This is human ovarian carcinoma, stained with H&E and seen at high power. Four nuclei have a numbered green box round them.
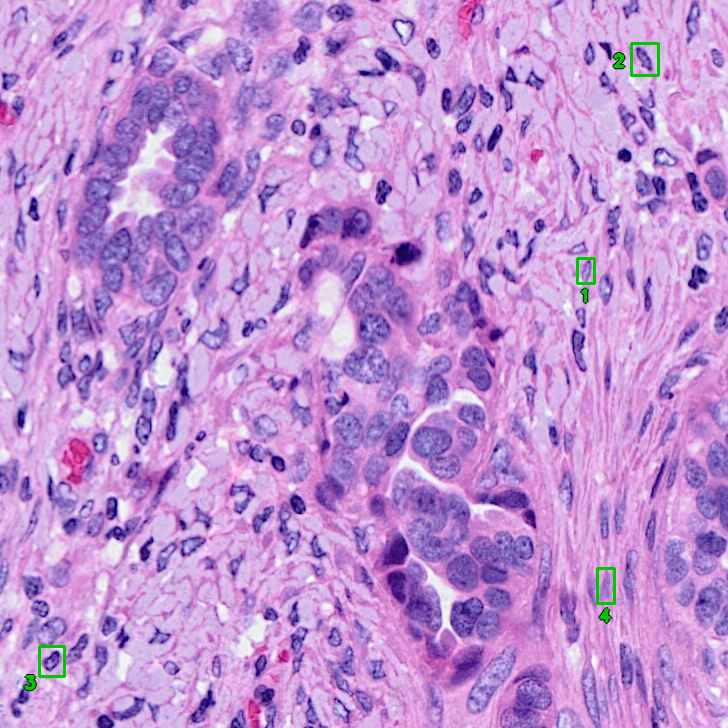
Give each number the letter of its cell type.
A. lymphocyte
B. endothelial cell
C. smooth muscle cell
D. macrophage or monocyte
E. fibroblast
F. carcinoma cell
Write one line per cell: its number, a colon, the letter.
1: E
2: E
3: A
4: E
